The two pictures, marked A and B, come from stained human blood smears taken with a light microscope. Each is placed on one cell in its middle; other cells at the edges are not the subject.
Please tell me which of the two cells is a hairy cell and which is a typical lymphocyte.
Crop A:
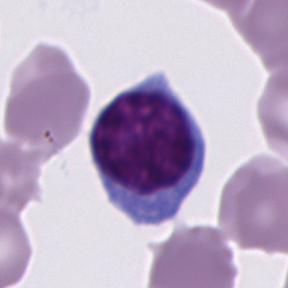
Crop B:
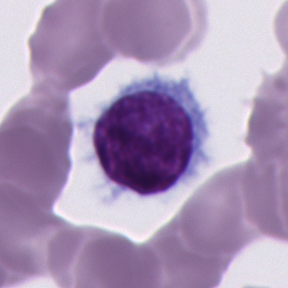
A: typical lymphocyte
B: hairy cell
